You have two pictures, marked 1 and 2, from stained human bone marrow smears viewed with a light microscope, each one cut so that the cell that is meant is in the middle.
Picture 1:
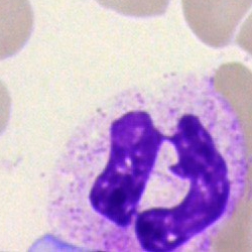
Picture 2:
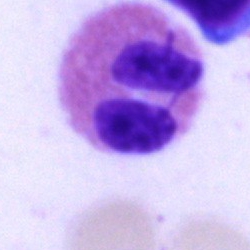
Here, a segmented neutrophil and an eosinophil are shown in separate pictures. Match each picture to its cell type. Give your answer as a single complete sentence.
Picture 1 is of a segmented neutrophil, and picture 2 is of an eosinophil.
